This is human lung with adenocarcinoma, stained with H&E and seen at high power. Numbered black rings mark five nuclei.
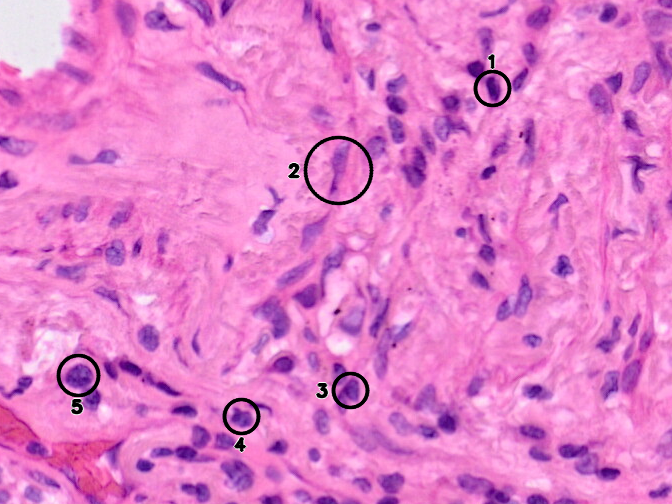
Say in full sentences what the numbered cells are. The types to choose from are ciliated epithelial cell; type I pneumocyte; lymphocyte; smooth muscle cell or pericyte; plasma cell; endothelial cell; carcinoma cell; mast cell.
Cell 1 is a plasma cell. Cell 2 is a smooth muscle cell or pericyte. Cells 3, 4 and 5 are lymphocytes.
